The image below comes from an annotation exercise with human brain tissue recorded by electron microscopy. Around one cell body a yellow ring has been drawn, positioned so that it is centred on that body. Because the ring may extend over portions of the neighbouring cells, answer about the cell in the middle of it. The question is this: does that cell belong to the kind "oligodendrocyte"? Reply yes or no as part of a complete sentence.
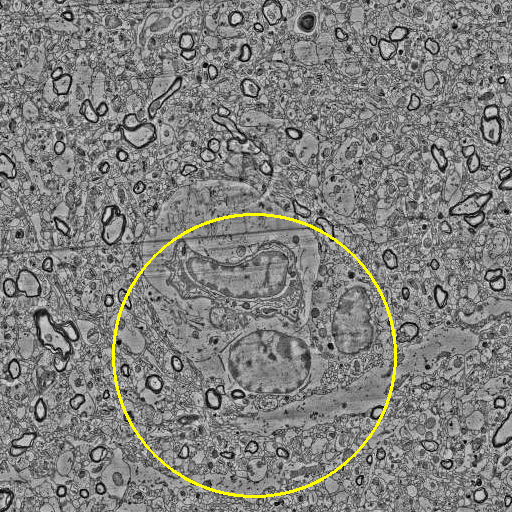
No, in the image the cell in the middle of the ring is of another kind.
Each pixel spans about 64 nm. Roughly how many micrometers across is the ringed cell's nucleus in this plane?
Roughly 5 by 4 micrometres is the size of the nucleus in this plane.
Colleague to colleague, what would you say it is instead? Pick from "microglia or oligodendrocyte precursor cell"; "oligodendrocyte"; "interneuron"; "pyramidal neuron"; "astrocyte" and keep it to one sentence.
In this picture, the ring is centred on a microglial cell or oligodendrocyte precursor cell.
